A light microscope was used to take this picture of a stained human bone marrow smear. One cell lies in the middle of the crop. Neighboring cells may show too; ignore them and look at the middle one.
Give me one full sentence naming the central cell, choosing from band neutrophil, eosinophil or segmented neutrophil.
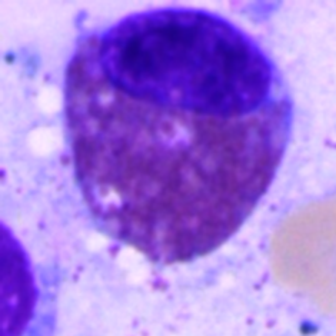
What the crop centres on is an eosinophil.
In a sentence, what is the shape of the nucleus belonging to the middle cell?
The nucleus amounts to one compact mass with a round, oval or kidney-shaped outline.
